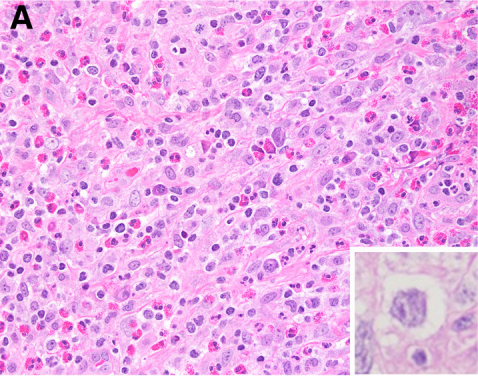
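Hematoxylin and eosin section of classic Hodgkin lymphoma with scattered large Hodgkin/Reed-Sternberg cells, interspersed eosinophils and background fibrosis. The large cells have abundant pale pink cytoplasm and large oval to irregular nuclei with fine chromatin and visible nucleoli. Numerous eosinophils with bright red-orange granular cytoplasm and small dark nuclei lie among them, together with small lymphocytes, and pale pink fibrous bands run through the tissue. The inset shows one large cell with an irregular nucleus lying in a clear space.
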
